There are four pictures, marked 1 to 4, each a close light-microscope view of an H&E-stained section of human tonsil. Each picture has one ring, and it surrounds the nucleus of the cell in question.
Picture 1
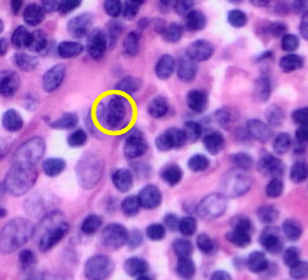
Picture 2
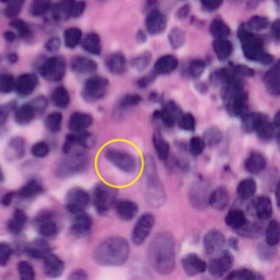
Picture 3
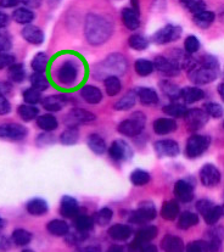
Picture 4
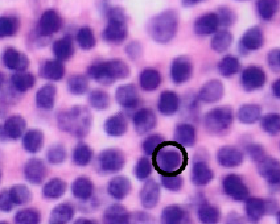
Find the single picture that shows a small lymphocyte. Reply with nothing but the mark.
4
